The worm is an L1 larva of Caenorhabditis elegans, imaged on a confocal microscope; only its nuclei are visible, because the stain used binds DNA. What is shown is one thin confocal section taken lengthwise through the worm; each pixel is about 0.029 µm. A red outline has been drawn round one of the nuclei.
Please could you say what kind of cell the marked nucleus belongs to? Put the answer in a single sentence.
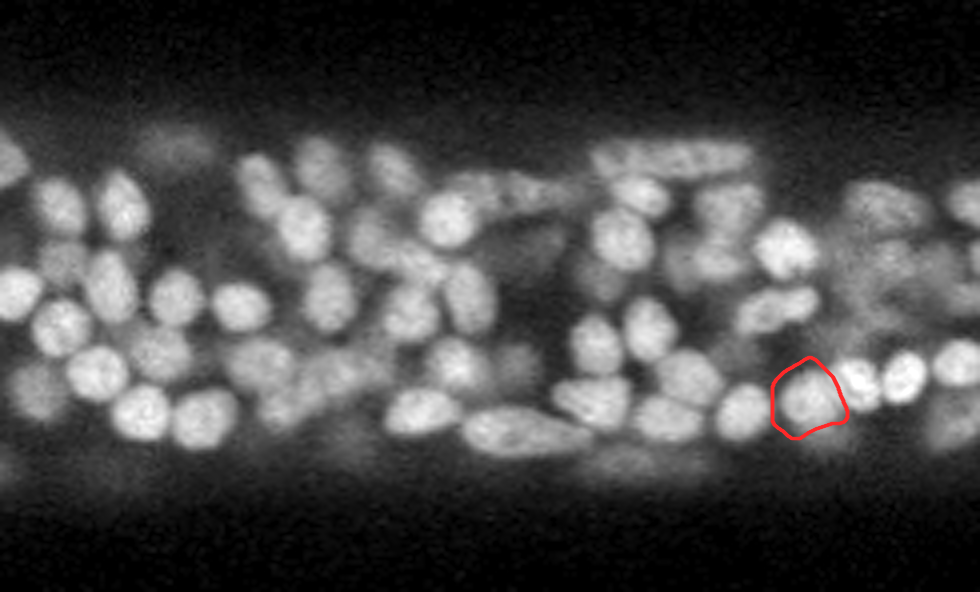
The marked nucleus is that of a glial cell (sheath or socket).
